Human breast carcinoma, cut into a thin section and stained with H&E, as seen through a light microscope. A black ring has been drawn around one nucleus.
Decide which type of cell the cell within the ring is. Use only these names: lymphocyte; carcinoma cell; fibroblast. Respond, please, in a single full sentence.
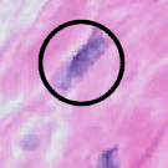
For cell typing purposes, the cell within the ring is a fibroblast.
